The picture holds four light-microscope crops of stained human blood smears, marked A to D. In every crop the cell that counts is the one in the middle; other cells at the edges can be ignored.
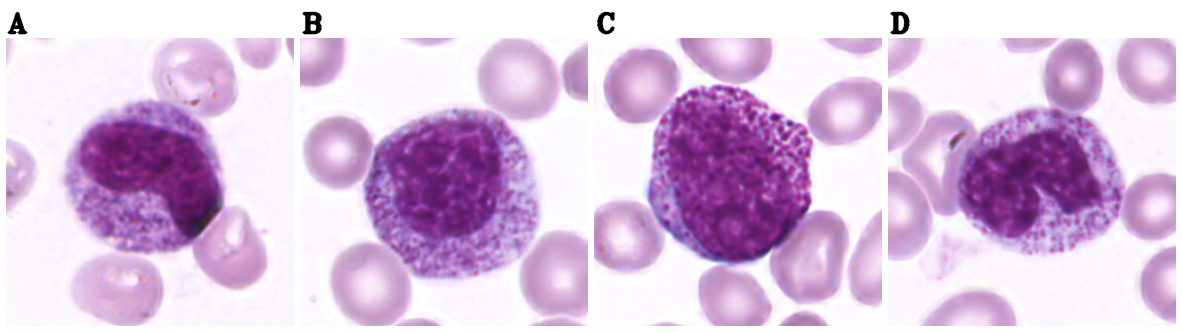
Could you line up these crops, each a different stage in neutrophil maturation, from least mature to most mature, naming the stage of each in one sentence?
The maturity ranking, lowest to highest, is crop C (a promyelocyte), crop B (a myelocyte), crop A (a metamyelocyte) and crop D (a band neutrophil).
